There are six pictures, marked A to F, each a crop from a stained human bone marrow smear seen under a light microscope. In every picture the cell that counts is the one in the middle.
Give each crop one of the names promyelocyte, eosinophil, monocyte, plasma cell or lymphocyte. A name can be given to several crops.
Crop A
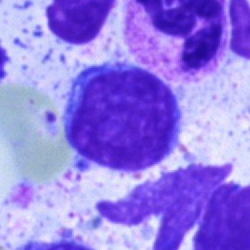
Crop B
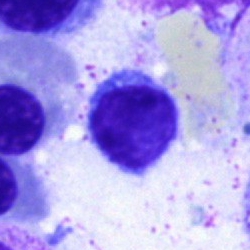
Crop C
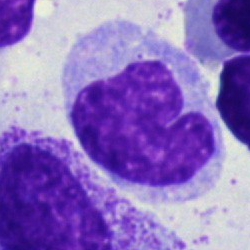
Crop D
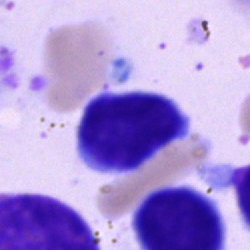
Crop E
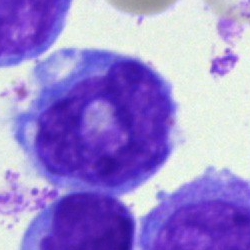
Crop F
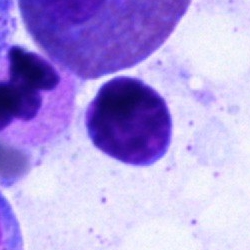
A: lymphocyte
B: lymphocyte
C: monocyte
D: lymphocyte
E: monocyte
F: lymphocyte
